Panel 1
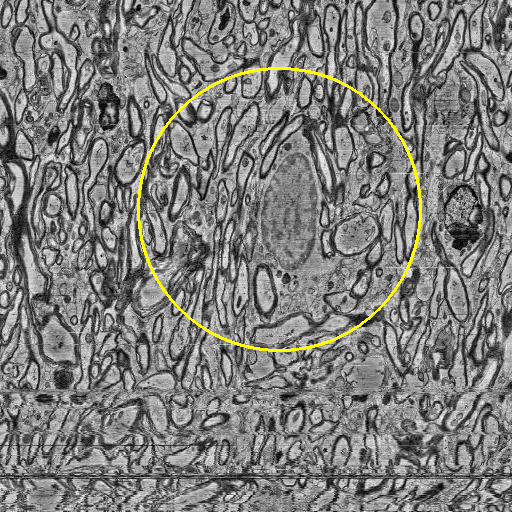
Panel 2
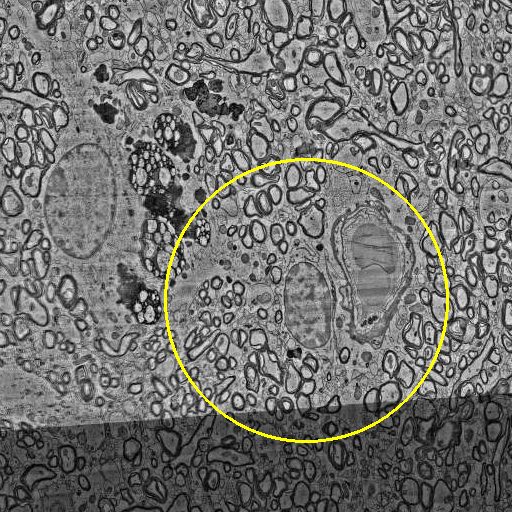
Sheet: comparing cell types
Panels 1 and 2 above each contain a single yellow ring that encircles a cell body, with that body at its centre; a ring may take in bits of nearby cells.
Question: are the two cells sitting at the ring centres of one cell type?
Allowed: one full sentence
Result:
No, the ring-centre cells in Panel 1 and Panel 2 are of two types.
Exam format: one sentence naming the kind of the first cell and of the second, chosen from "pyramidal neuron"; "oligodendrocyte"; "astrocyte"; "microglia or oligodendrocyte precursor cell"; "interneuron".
The first picture's cell is an oligodendrocyte, and the second picture's cell is a microglial cell or oligodendrocyte precursor cell.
